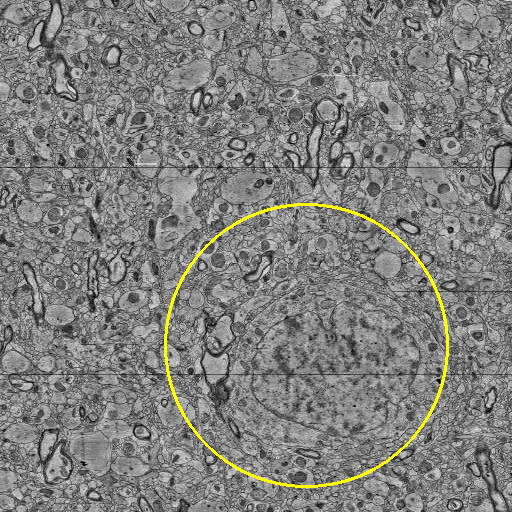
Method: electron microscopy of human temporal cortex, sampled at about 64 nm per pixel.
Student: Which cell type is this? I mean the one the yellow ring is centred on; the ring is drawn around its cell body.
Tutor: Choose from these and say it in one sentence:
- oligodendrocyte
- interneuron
The cell the ring is centred on is an interneuron.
